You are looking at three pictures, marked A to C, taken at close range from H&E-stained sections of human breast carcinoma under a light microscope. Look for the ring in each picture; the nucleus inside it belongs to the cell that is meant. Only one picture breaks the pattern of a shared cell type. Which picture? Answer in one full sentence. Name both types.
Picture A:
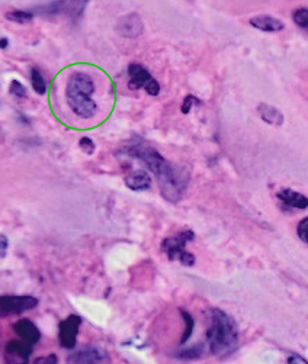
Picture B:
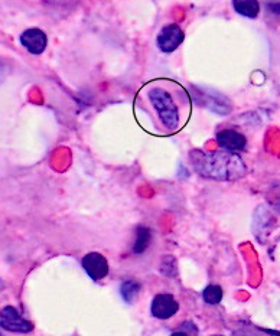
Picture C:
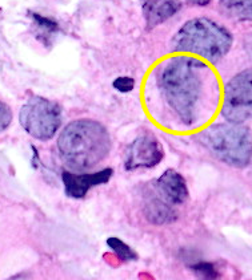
Picture C differs, because its cell is a carcinoma cell and the rest are mast cells.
